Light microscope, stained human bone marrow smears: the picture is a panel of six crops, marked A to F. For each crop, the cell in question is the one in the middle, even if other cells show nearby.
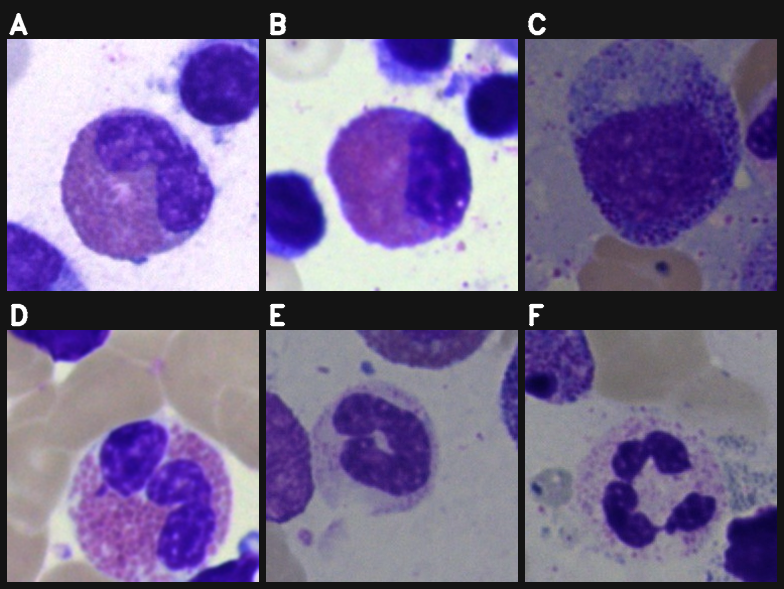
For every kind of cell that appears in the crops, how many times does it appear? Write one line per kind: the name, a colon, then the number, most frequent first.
eosinophil: 3
segmented neutrophil: 2
promyelocyte: 1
